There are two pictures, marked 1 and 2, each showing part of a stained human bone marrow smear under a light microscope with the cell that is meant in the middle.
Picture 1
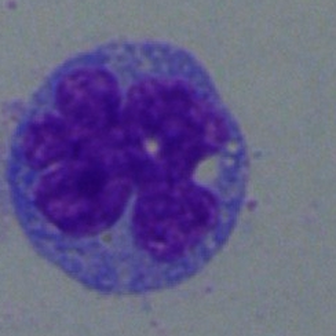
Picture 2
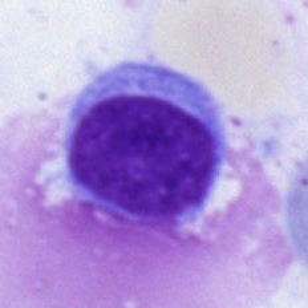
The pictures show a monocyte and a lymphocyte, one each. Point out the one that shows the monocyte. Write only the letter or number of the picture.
1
